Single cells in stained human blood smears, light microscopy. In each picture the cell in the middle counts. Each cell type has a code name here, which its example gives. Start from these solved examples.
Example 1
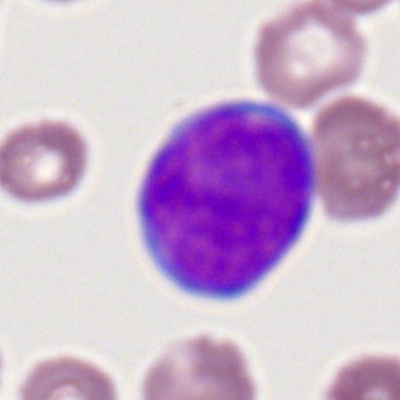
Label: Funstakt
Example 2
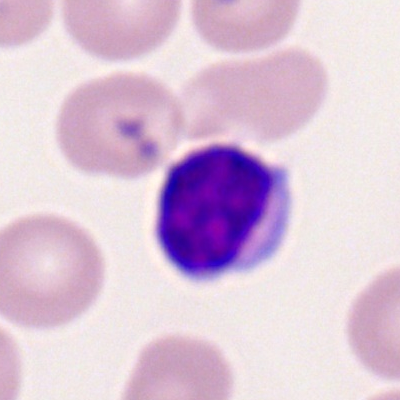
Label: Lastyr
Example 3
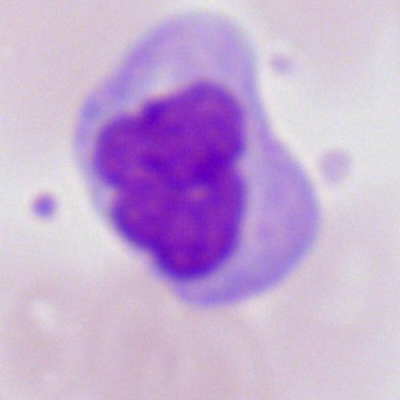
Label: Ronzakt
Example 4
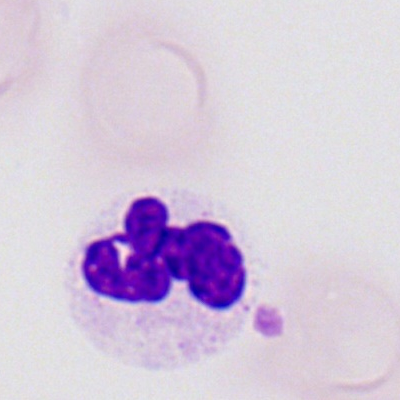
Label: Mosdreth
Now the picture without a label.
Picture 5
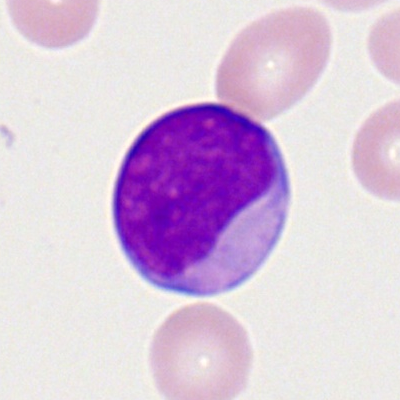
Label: Funstakt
